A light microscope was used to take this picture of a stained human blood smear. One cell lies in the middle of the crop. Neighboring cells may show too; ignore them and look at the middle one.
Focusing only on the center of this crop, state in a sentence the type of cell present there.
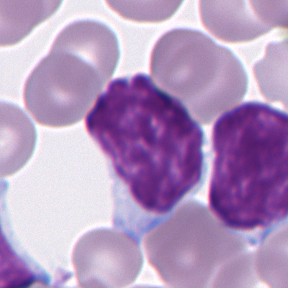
The centered cell in this crop is a typical lymphocyte.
